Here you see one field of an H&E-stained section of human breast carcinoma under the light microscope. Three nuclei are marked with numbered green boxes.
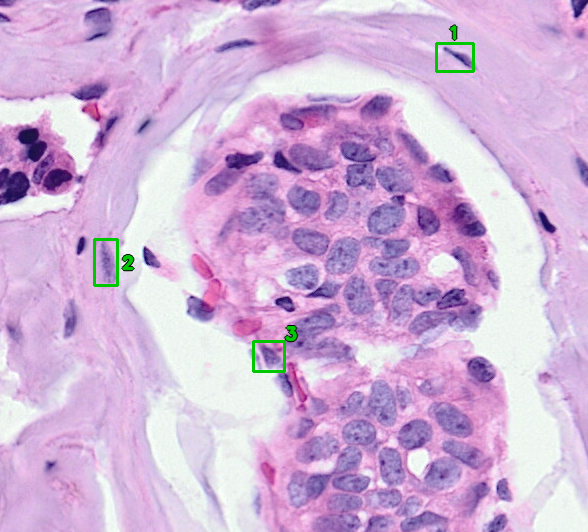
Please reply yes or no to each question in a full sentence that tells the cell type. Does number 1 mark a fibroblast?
Yes, the cell at number 1 is a fibroblast.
